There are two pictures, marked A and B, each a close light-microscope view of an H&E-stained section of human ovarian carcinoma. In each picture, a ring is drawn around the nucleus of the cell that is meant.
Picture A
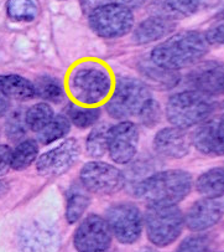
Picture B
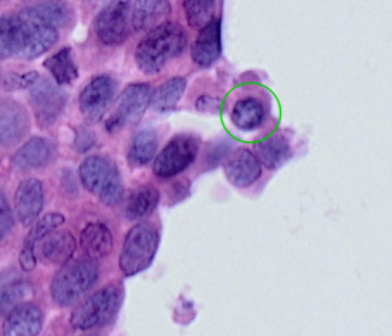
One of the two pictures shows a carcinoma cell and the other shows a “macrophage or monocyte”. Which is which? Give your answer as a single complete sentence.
Picture A shows a carcinoma cell and picture B shows a “macrophage or monocyte”.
